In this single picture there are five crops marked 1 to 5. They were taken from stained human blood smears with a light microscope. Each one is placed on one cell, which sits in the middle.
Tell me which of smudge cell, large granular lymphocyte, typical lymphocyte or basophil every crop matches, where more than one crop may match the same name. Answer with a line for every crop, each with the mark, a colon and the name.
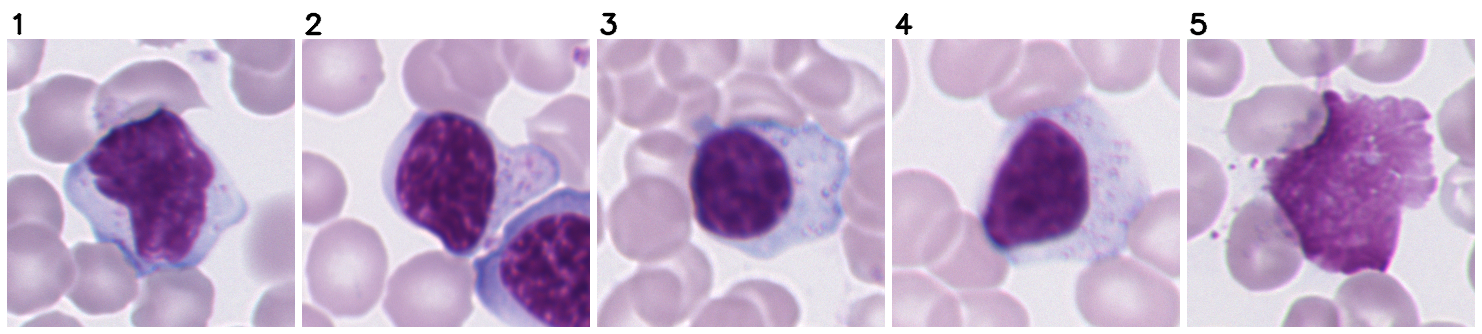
1: large granular lymphocyte
2: large granular lymphocyte
3: large granular lymphocyte
4: large granular lymphocyte
5: smudge cell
